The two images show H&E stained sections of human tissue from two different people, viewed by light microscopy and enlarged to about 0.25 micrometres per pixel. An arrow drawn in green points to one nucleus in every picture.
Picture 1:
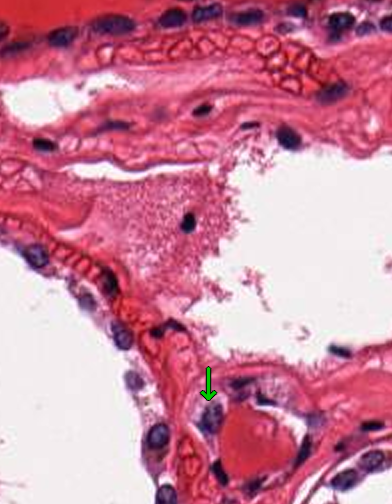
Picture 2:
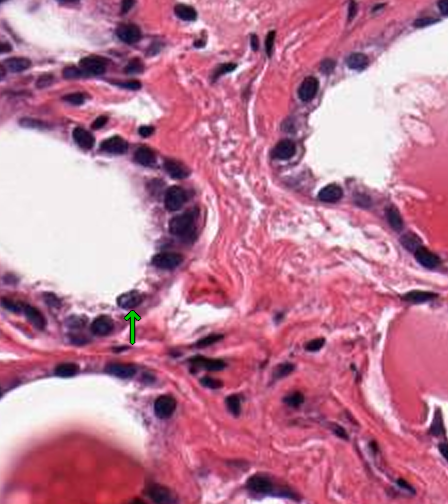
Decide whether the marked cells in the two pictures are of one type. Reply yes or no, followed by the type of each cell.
Yes, both are thyroid follicular cells.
